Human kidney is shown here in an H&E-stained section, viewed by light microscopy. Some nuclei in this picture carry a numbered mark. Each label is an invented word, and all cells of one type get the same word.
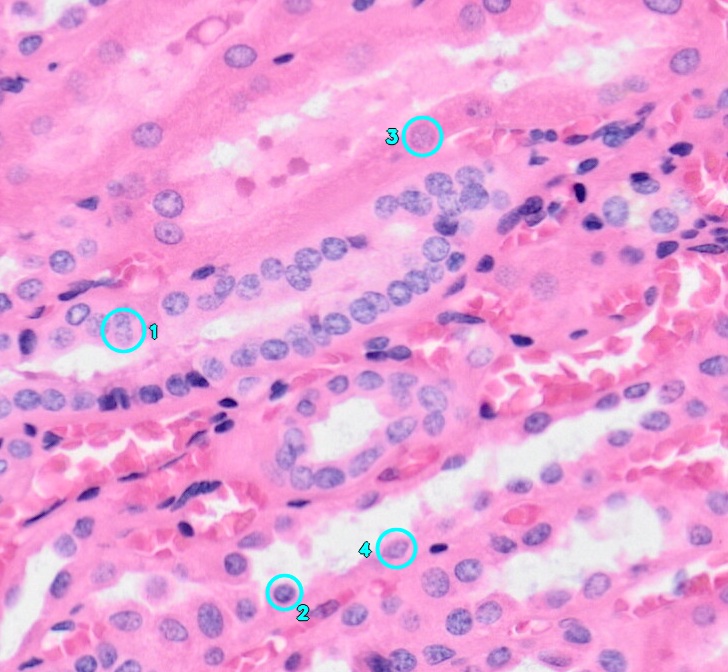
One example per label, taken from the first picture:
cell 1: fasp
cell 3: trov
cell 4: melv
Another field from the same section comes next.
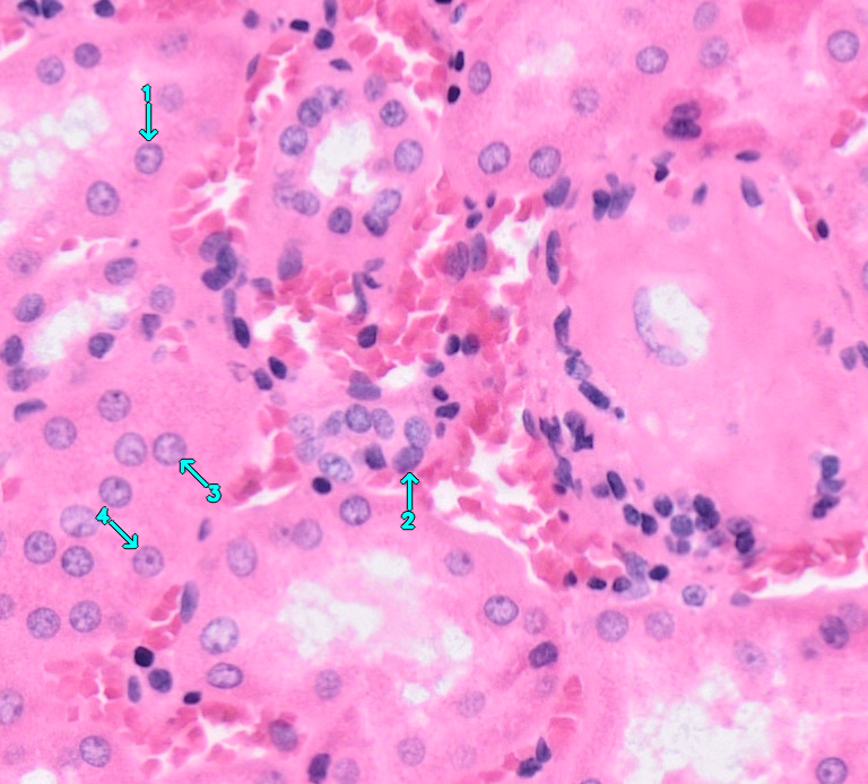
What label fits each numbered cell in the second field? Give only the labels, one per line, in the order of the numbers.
trov
fasp
trov
trov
